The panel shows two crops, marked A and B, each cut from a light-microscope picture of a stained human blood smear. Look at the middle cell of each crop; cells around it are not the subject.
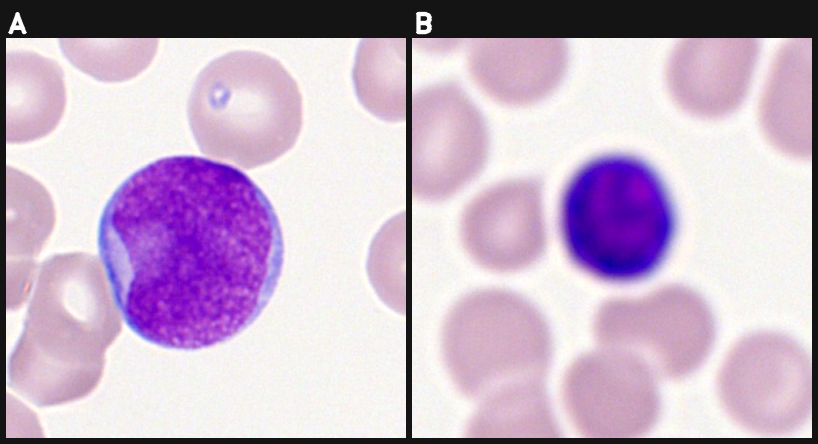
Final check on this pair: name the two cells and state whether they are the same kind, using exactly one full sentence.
No, the labels go like this: crop A is a blast and crop B is a lymphocyte.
